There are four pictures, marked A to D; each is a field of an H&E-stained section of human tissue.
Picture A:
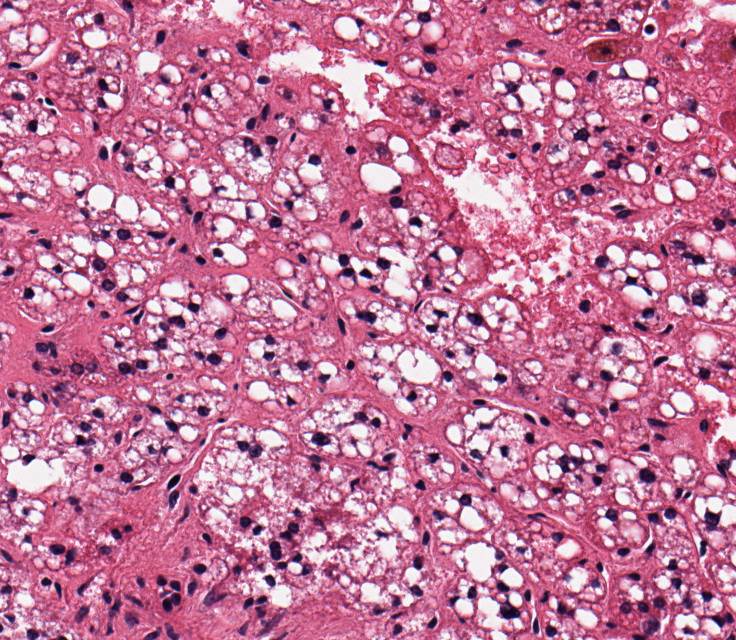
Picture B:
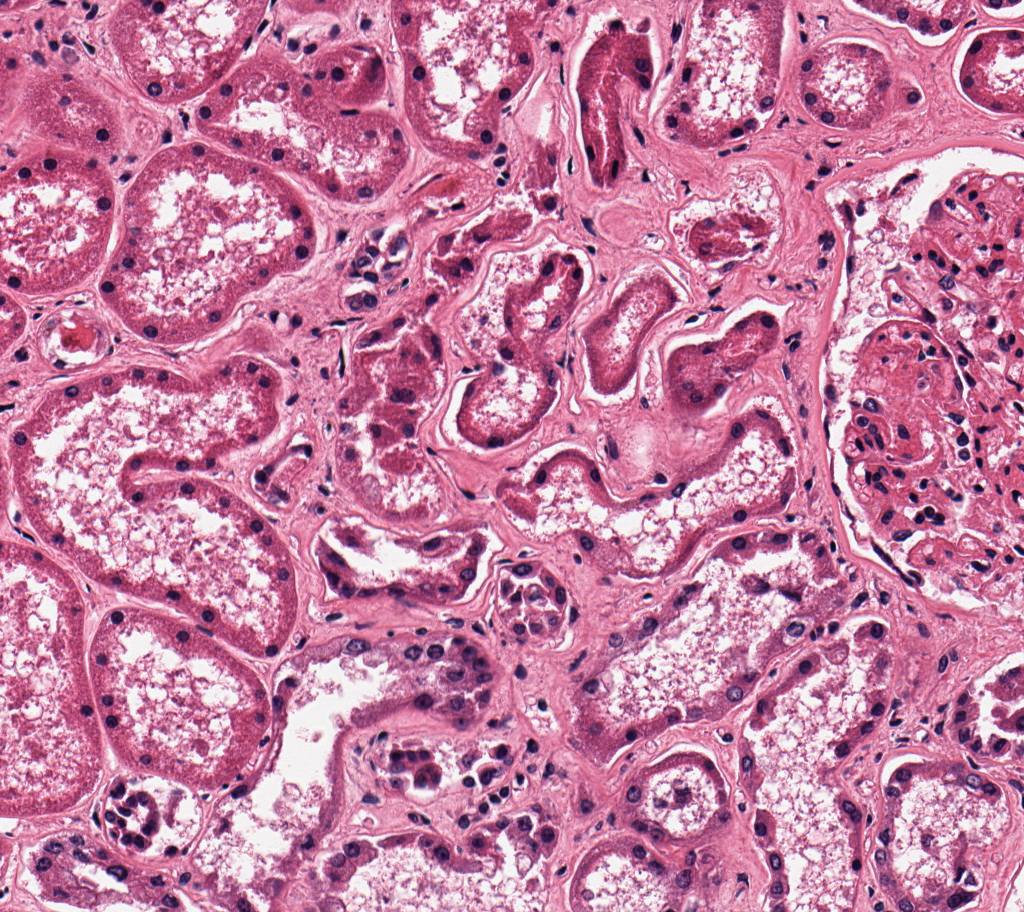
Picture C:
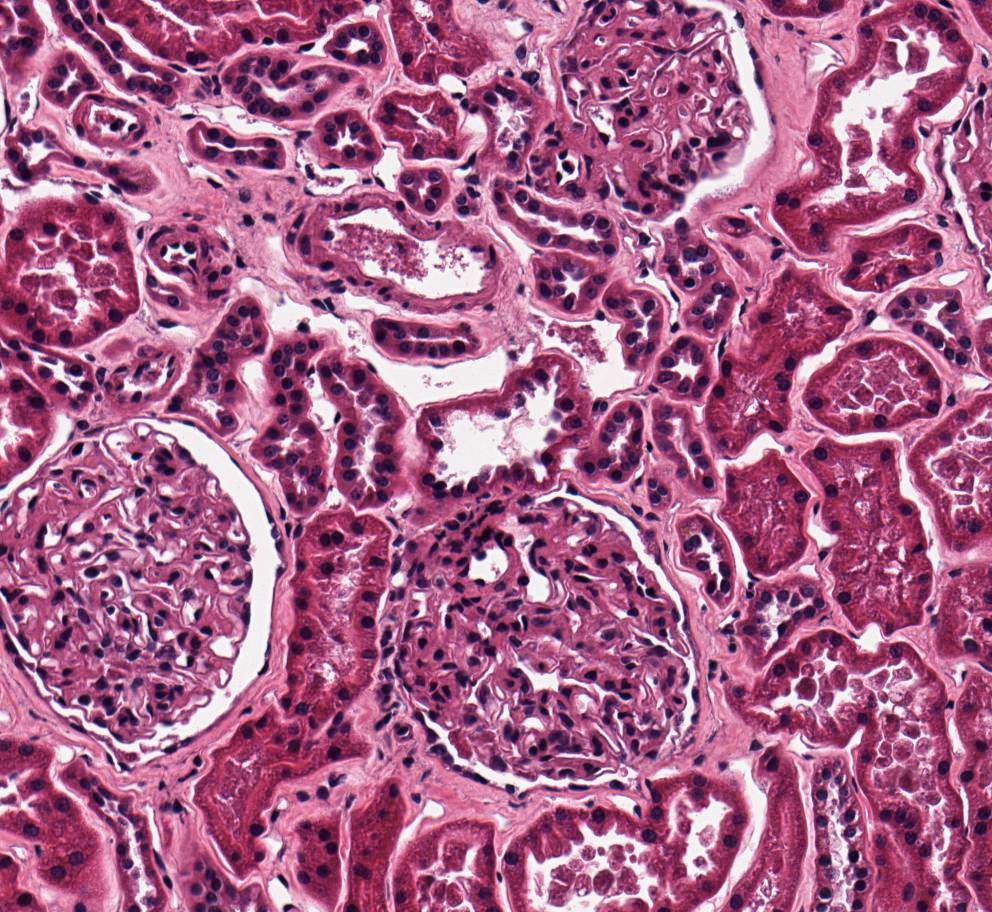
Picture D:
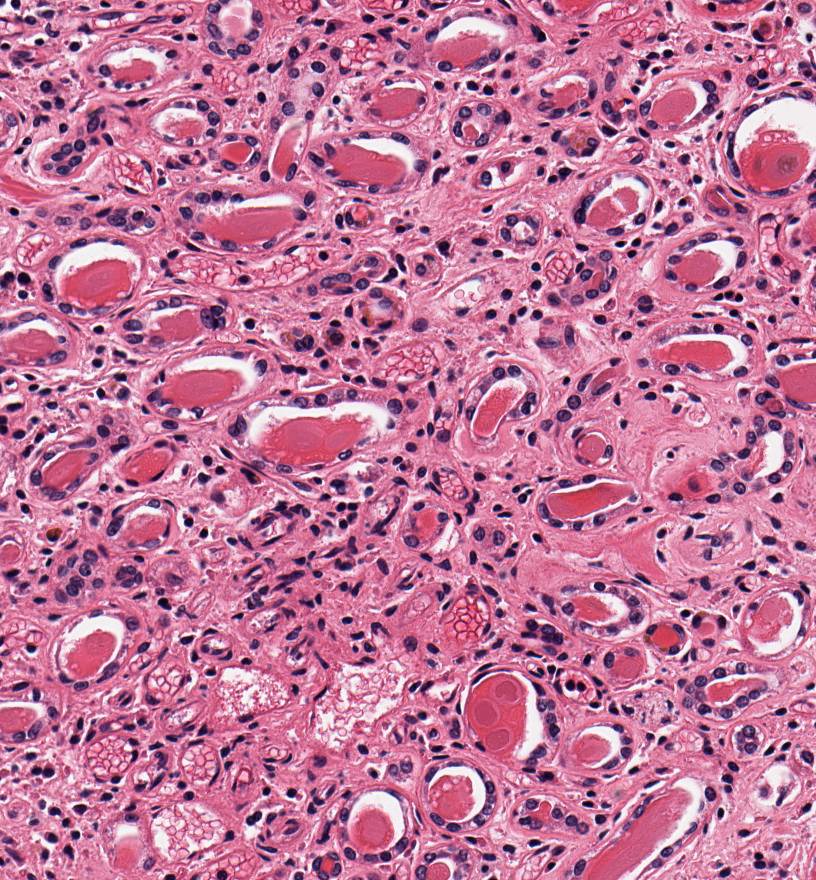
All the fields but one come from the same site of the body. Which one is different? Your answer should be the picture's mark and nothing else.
A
